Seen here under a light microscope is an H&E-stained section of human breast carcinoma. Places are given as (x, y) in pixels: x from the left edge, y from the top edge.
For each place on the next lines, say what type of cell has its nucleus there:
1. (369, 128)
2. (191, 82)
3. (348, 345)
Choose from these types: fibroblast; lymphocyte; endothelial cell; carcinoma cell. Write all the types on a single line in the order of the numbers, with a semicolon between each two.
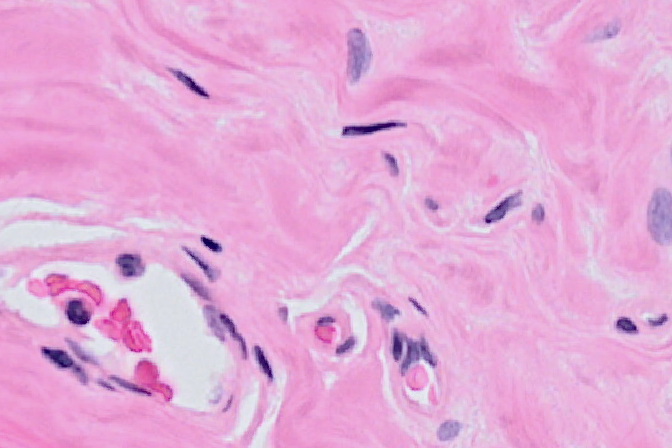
fibroblast; fibroblast; endothelial cell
